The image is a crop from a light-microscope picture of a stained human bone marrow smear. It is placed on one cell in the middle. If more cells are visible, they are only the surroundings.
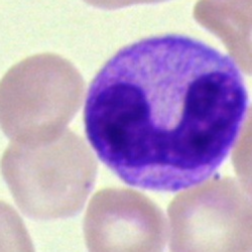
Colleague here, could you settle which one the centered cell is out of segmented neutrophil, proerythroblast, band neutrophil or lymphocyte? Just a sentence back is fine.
To answer, the cell in the center of the crop is a band neutrophil.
